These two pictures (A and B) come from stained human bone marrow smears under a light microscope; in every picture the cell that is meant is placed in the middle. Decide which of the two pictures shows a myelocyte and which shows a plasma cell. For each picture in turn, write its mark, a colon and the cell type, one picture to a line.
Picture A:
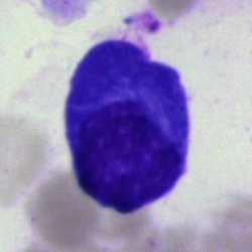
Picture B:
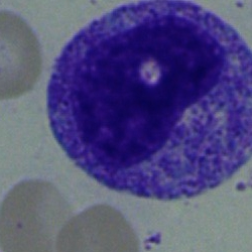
A: plasma cell
B: myelocyte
